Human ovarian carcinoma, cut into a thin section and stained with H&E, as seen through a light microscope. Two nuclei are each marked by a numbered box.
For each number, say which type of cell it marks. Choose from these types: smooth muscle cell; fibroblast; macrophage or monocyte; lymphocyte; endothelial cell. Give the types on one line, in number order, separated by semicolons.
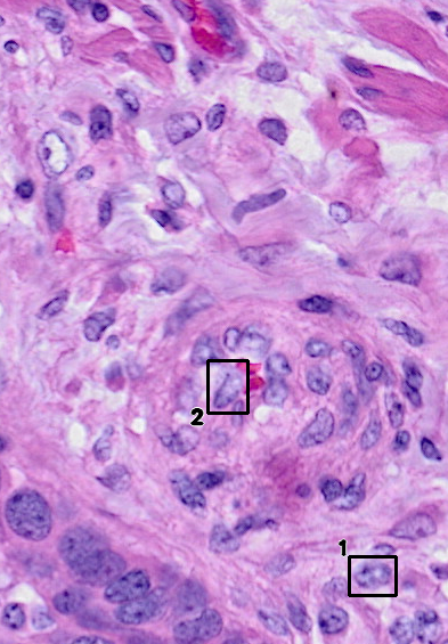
fibroblast; endothelial cell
